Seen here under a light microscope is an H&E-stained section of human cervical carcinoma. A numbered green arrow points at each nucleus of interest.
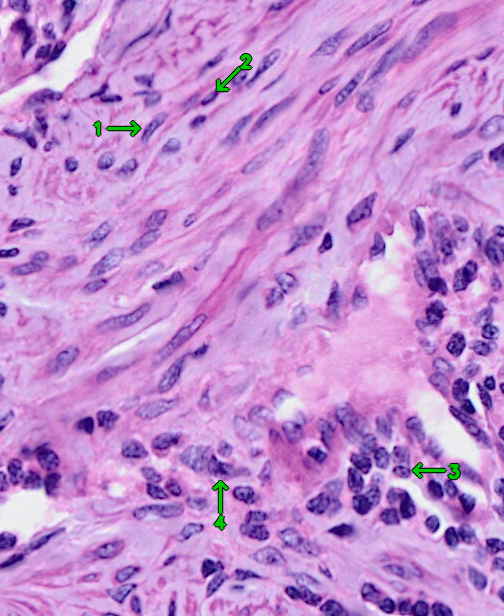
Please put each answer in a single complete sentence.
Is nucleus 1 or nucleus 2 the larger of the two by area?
At about 2 times the area of nucleus 2, nucleus 1 is the larger of the two.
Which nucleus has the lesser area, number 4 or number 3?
The smaller nucleus is 3, and 4 covers roughly 2 times its area.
